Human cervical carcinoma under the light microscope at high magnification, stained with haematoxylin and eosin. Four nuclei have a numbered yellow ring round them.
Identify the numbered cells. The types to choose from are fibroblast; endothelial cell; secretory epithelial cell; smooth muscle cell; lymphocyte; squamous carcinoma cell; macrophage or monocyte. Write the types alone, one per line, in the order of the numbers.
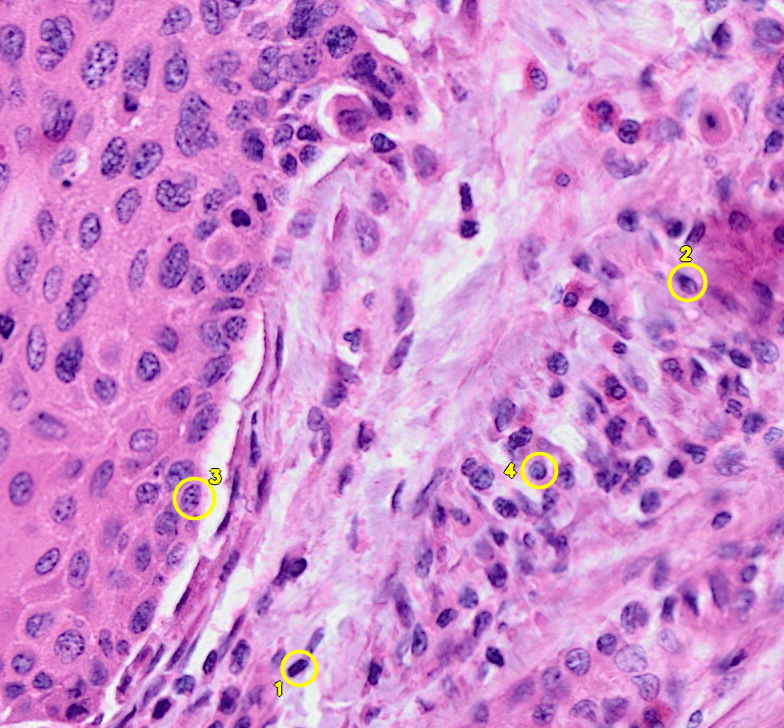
lymphocyte
lymphocyte
squamous carcinoma cell
lymphocyte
